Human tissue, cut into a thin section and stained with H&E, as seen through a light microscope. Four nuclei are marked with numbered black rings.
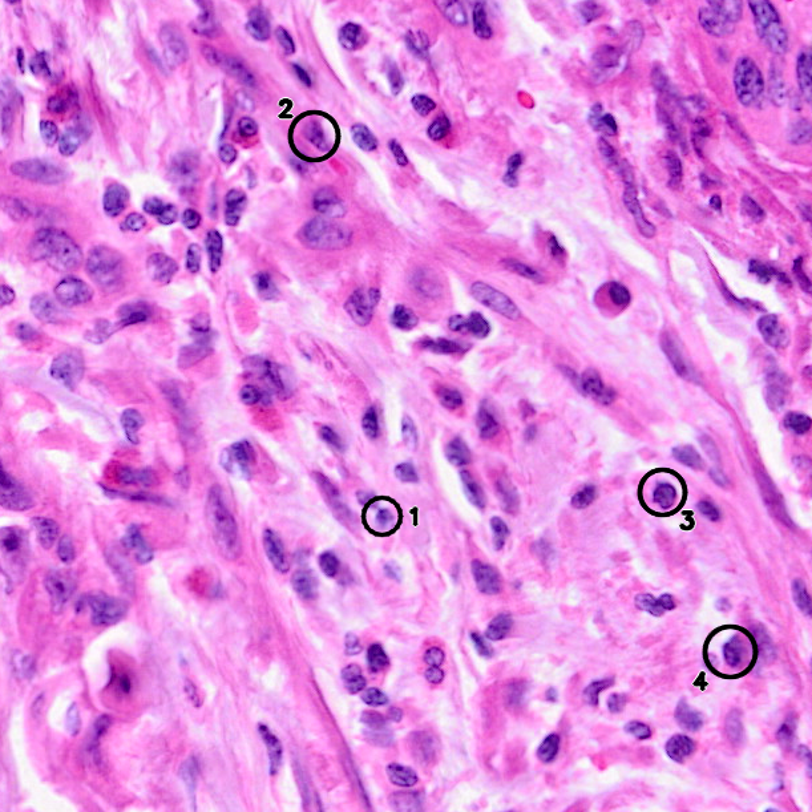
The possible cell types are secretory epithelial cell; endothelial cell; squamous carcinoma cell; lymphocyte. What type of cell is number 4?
lymphocyte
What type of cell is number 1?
lymphocyte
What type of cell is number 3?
lymphocyte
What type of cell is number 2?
endothelial cell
